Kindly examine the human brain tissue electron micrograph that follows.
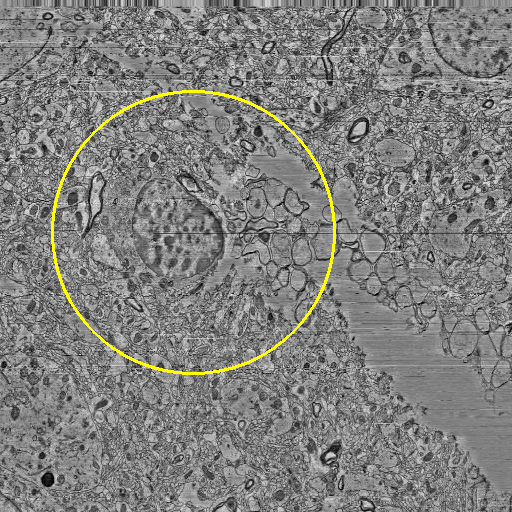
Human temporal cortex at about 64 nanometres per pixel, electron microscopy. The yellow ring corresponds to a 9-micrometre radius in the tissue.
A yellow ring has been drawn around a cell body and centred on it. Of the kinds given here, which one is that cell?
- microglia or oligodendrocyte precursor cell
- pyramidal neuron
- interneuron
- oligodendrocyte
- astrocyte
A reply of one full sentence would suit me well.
The micrograph's ringed cell, the one at the ring's centre, is an oligodendrocyte.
